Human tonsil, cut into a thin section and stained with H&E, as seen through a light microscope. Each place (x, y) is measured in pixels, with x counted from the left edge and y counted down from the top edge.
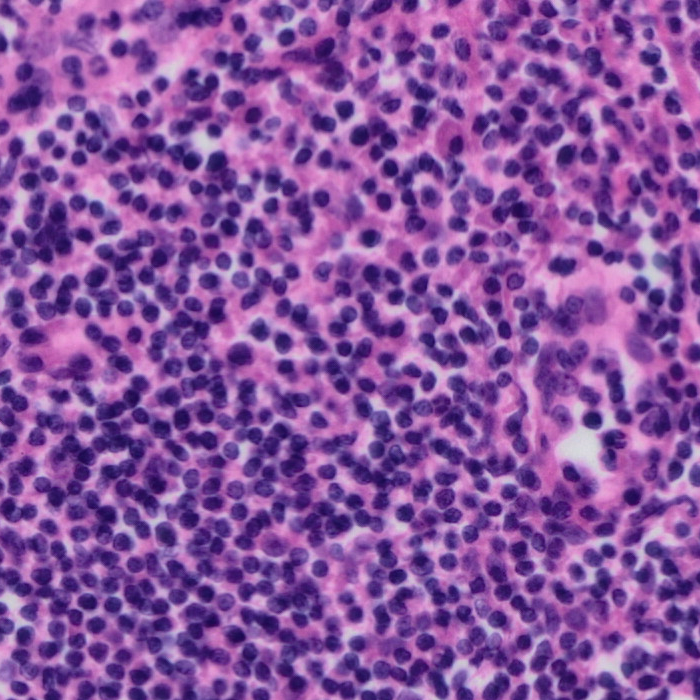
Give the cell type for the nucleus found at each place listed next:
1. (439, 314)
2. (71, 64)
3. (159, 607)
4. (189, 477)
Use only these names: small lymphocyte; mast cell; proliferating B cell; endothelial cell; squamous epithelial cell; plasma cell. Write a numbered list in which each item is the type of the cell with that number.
1. small lymphocyte
2. endothelial cell
3. small lymphocyte
4. small lymphocyte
